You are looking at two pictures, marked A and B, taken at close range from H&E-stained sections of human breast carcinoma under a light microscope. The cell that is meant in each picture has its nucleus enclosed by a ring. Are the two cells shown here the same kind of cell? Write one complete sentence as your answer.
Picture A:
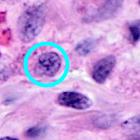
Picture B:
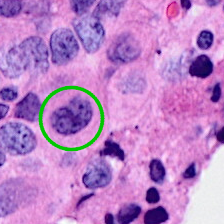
No, they differ: the cell is a “macrophage, monocyte or dendritic cell” in picture A and a carcinoma cell in picture B.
